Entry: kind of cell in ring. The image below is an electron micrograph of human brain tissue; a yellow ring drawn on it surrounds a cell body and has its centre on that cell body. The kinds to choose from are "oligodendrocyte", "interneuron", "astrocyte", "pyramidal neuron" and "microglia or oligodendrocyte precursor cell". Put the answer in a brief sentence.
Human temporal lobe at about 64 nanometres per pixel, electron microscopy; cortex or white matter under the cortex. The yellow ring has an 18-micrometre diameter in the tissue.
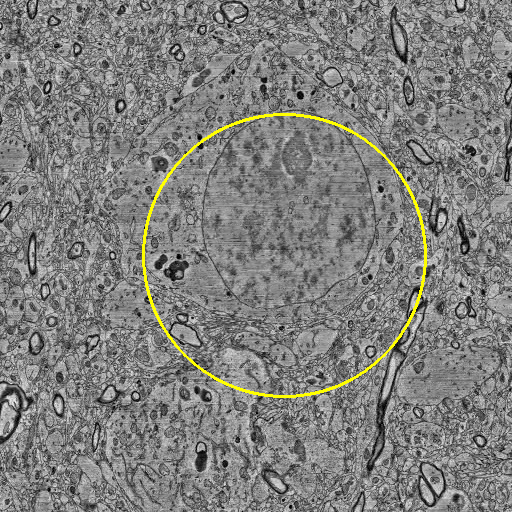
The ring has been drawn around a pyramidal neuron.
